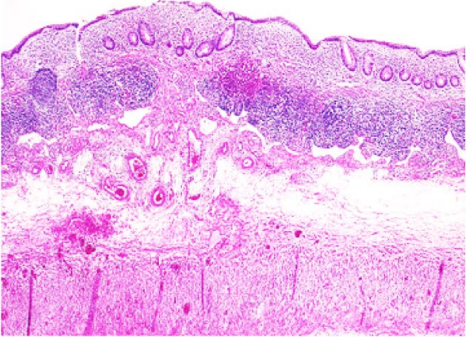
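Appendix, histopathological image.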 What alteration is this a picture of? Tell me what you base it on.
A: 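A broad, pale, loosely textured band lies beneath the mucosa. The muscle layer below is separated from the mucosa by this pale zone.
Submucosal edema.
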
